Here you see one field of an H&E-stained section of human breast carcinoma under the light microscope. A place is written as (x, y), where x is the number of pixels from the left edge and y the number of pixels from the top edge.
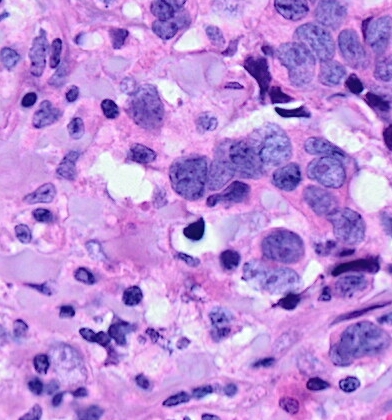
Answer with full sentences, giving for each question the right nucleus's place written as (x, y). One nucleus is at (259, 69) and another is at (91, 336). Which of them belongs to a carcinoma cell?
Answering which nucleus it is: the one at (259, 69), belonging to a carcinoma cell.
